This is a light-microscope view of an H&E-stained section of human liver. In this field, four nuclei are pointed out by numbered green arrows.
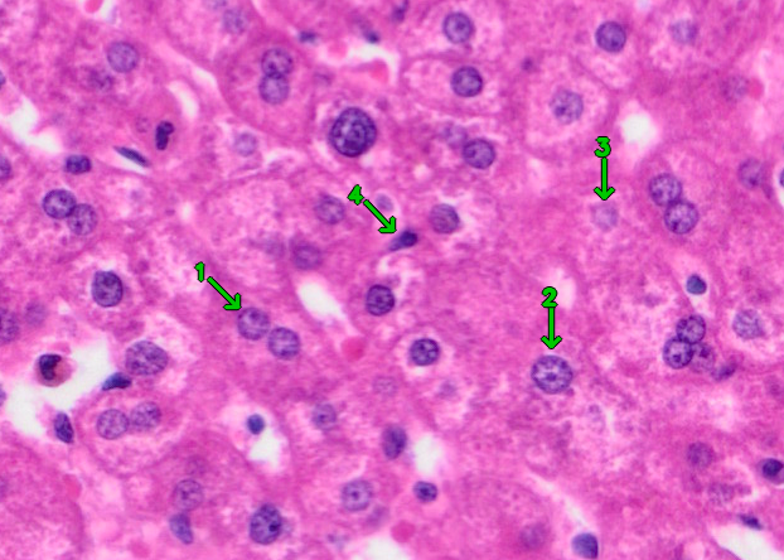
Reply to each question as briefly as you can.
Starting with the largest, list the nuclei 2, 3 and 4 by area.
2, 3, 4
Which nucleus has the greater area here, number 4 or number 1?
1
